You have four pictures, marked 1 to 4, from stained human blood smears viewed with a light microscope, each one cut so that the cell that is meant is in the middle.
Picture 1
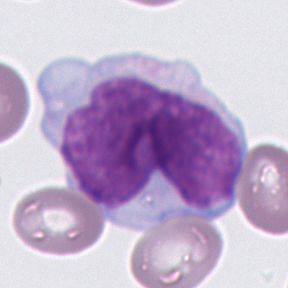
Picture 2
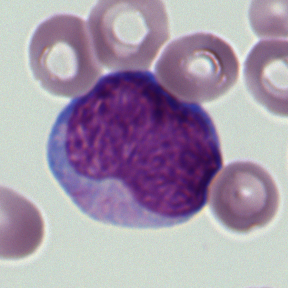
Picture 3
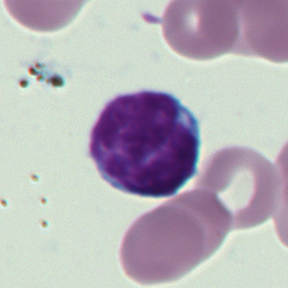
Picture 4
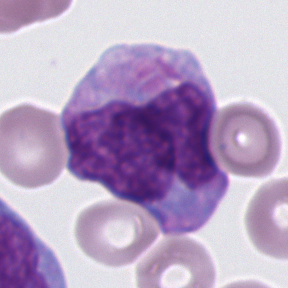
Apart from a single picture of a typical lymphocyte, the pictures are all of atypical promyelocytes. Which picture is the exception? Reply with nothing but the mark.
3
